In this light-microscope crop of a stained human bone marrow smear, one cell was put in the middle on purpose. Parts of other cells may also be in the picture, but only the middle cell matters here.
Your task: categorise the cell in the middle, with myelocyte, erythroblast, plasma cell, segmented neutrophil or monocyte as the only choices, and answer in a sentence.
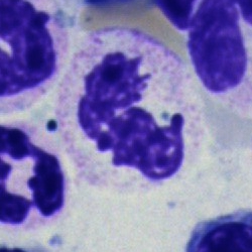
The middle cell in this particular crop is a segmented neutrophil.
